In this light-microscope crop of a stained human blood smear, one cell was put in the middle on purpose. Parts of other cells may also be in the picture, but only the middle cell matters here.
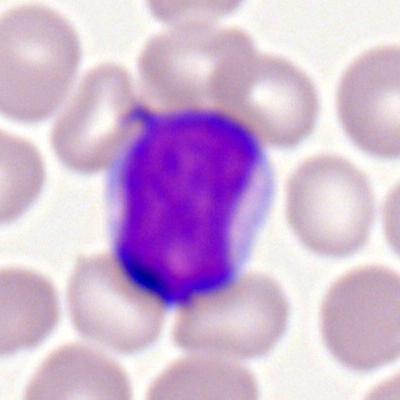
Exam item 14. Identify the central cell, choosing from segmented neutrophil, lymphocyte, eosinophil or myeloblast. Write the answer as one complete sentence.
The target cell in the middle of the crop is a myeloblast.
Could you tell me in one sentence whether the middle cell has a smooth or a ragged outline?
Not smooth, the outline of the cell is ragged or drawn out into projections.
